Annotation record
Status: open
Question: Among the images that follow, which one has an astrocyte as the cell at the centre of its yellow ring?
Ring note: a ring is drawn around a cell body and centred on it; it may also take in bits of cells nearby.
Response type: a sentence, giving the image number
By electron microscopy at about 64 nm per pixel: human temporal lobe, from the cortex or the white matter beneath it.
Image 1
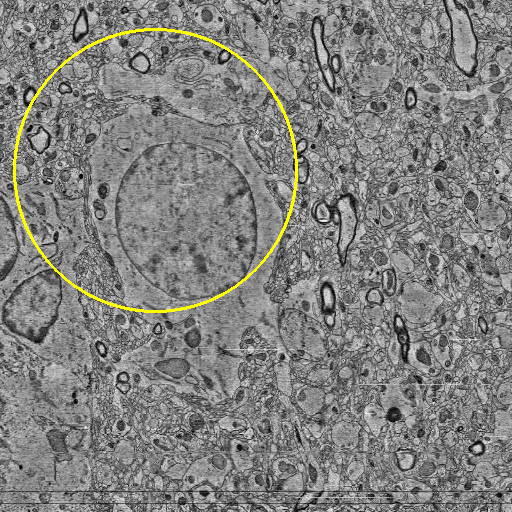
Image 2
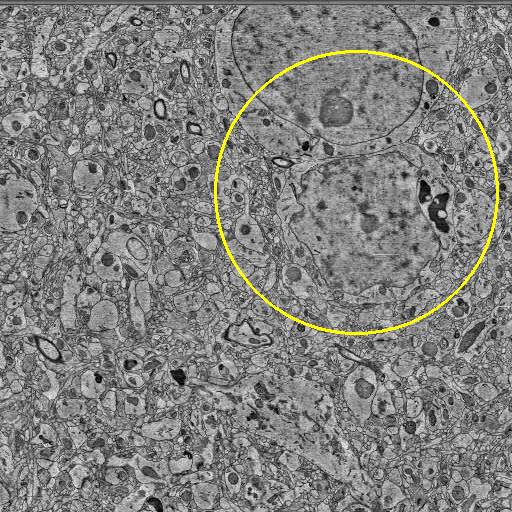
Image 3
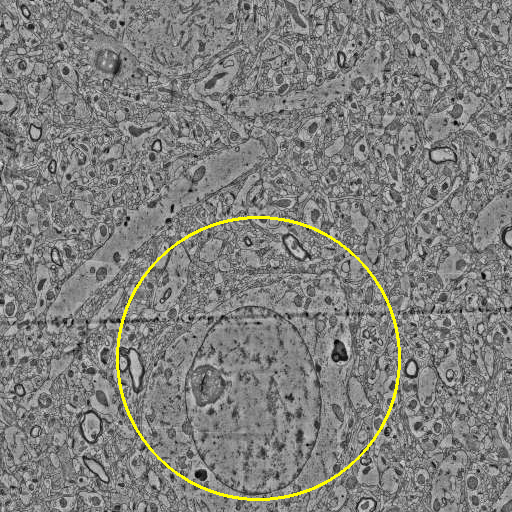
Image 1 shows it at the centre of its ring.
